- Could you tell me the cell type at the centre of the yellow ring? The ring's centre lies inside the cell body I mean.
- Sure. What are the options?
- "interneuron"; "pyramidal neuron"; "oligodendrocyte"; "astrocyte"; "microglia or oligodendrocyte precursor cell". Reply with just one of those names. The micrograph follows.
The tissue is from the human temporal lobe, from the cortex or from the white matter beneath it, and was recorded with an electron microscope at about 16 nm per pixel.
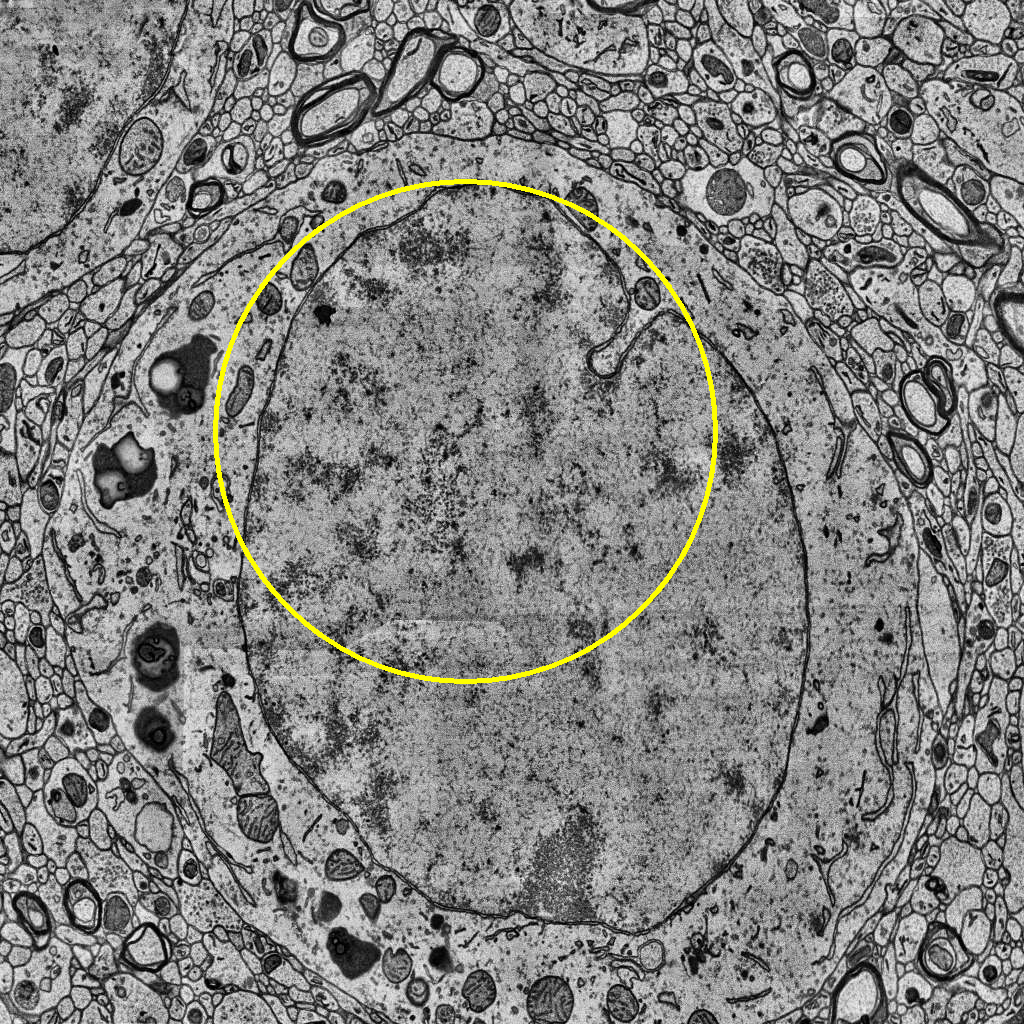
pyramidal neuron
